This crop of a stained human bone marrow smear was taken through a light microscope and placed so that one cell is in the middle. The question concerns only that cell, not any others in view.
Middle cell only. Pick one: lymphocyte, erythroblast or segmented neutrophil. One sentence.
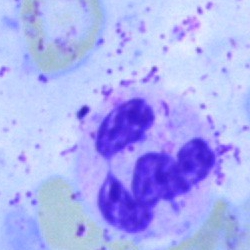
The middle of this crop is occupied by a segmented neutrophil.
